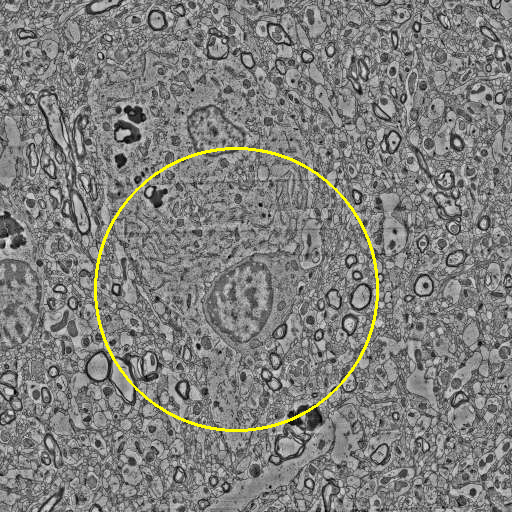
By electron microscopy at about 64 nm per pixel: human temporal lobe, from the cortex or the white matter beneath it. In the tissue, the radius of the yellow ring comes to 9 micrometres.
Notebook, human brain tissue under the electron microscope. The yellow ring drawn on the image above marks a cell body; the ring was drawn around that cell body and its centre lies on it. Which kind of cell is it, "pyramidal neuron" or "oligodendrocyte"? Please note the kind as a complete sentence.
The marked cell body is that of an oligodendrocyte.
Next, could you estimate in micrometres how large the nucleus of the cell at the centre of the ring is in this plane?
The nucleus measures about 5 by 4 micrometres in this plane.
